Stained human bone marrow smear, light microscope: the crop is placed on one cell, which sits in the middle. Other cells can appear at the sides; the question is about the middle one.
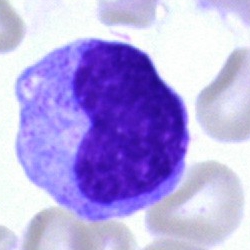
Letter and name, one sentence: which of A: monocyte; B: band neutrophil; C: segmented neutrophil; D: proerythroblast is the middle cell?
Option A is right in identifying the central cell as a monocyte.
